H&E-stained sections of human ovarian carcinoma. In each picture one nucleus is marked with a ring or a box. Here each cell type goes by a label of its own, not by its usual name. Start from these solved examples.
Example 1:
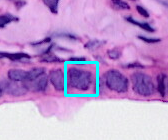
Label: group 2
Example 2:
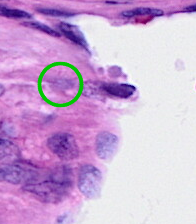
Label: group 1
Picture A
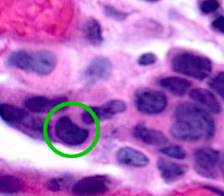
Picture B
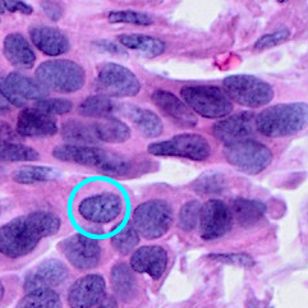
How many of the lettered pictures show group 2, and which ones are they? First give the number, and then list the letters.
2, namely A, B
